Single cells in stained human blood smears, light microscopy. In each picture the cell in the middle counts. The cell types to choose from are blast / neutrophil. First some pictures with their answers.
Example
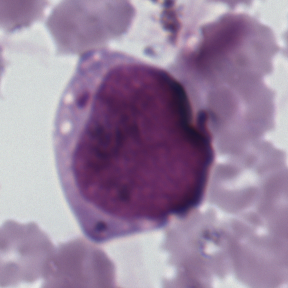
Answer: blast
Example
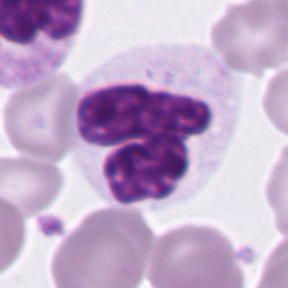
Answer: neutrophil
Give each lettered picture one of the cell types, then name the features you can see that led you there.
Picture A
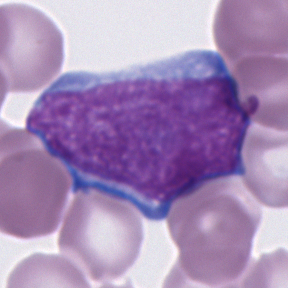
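blast. Evidence: The cytoplasm is blue.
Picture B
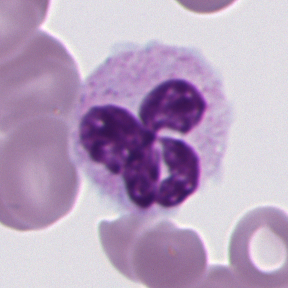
neutrophil. Evidence: The cytoplasm is pale pinkish-lilac rather than blue.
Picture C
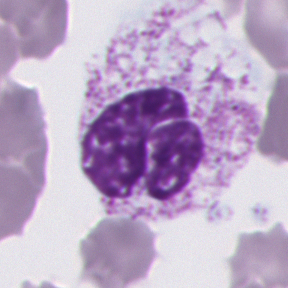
neutrophil. Evidence: The cytoplasm is abundant and very pale, almost colourless between the granules.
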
